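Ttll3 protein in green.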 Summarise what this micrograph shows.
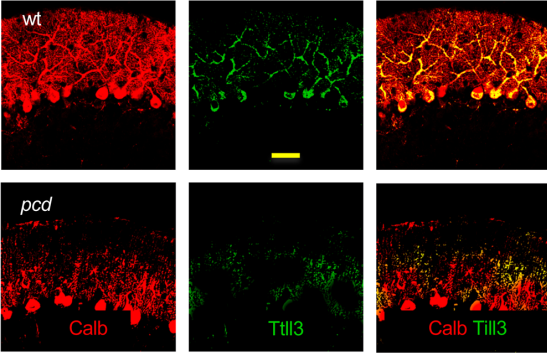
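These are Purkinje neurons of the cerebellar cortex, whose large rounded cell bodies sit in a single row with dendritic trees rising into the overlying layer. In the upper row the red dendrites branch richly and continuously, and the green label follows the main dendritic shafts and the cell bodies, so that the merged image shows yellow along the trunks. In the lower row the cell bodies are still red and in a row, but the distal dendritic territory appears as a fragmented, punctate red meshwork rather than continuous branches. The green label there is faint and speckled, without the clear outline of dendritic shafts.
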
